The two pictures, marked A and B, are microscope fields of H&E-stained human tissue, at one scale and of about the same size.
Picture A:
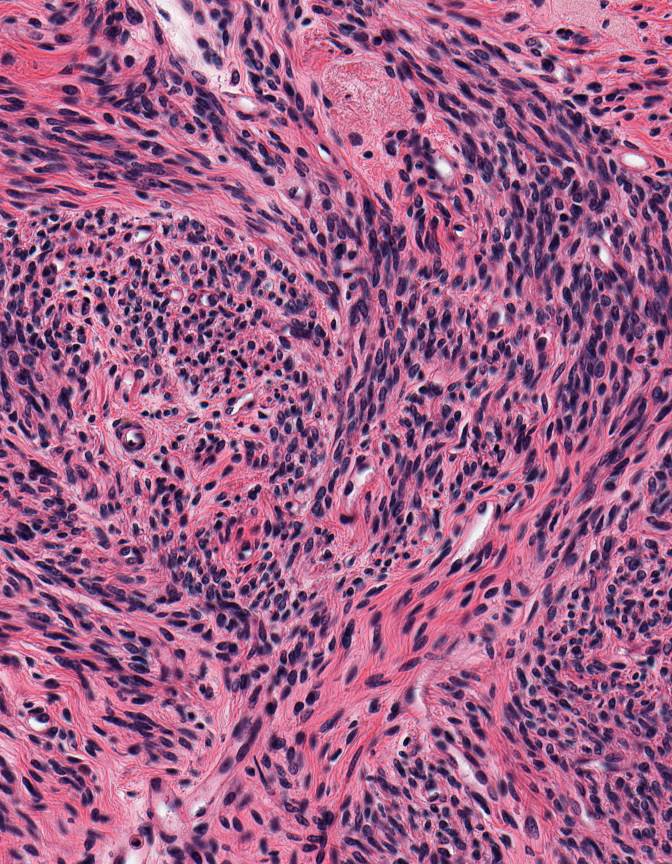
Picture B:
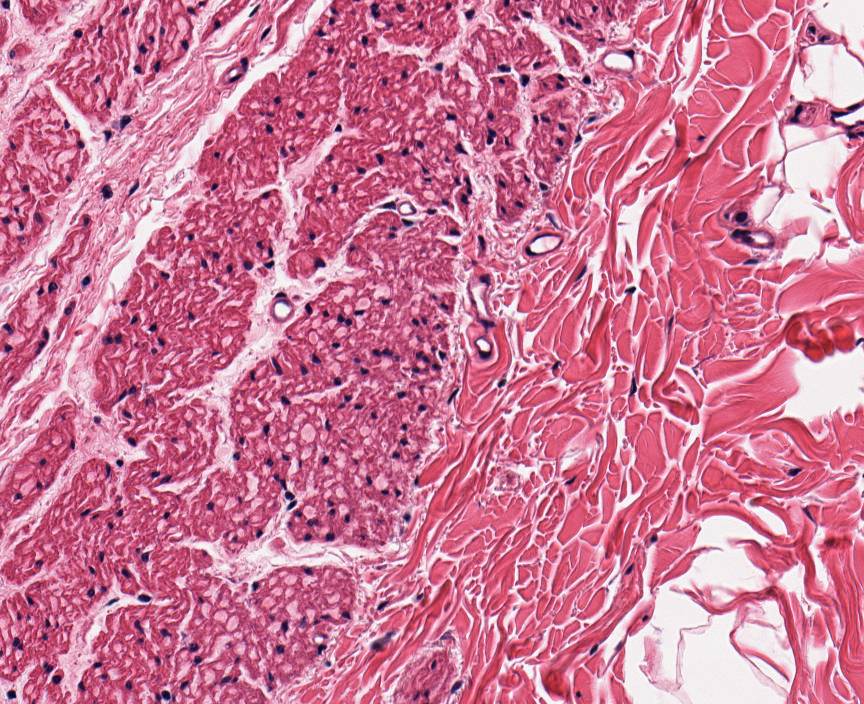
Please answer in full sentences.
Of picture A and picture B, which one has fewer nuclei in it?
It is picture B that has fewer nuclei in it.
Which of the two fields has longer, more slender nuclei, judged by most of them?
It is picture A whose nuclei are the more elongated.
